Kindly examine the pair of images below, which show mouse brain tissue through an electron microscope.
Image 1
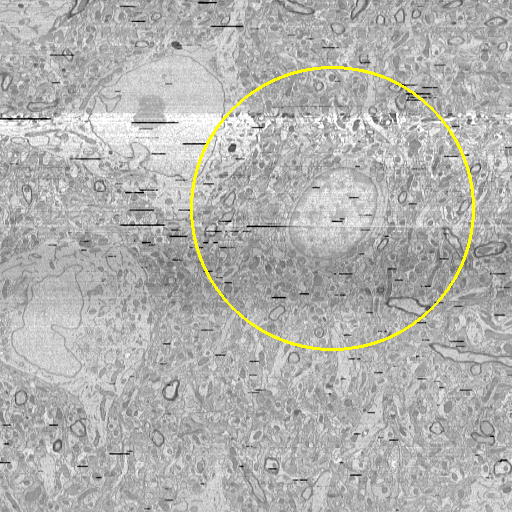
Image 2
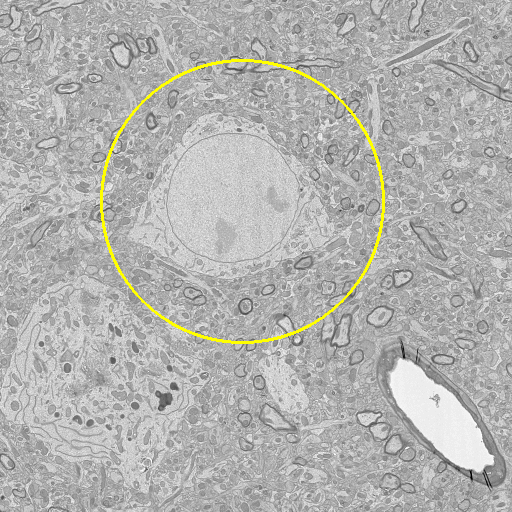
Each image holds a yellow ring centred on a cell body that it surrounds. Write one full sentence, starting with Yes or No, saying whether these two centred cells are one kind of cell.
No, the cells at the centres of the yellow rings belong to two kinds of cell.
